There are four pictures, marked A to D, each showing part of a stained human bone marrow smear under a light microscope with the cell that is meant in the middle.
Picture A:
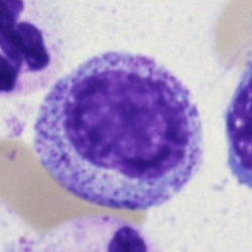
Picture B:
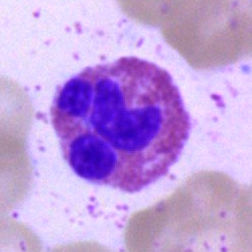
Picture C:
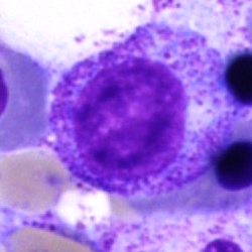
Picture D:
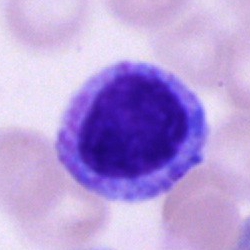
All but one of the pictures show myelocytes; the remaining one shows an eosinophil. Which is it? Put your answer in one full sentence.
The eosinophil is the one in picture B.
